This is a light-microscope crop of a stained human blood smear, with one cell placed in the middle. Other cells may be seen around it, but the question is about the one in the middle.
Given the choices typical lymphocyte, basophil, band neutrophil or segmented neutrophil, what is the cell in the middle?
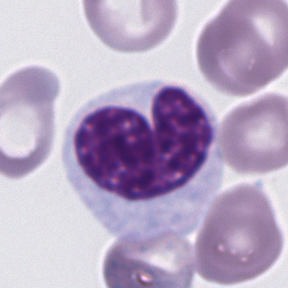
band neutrophil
